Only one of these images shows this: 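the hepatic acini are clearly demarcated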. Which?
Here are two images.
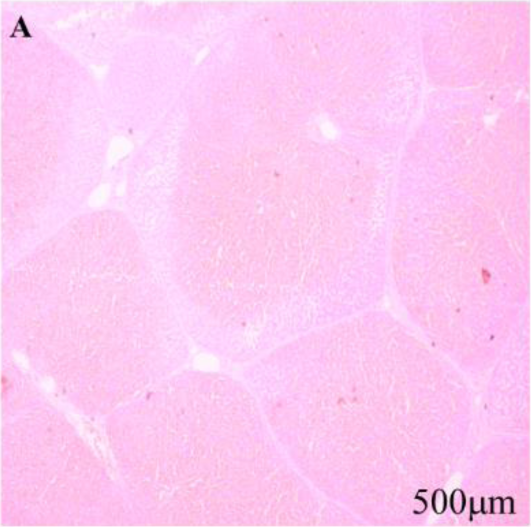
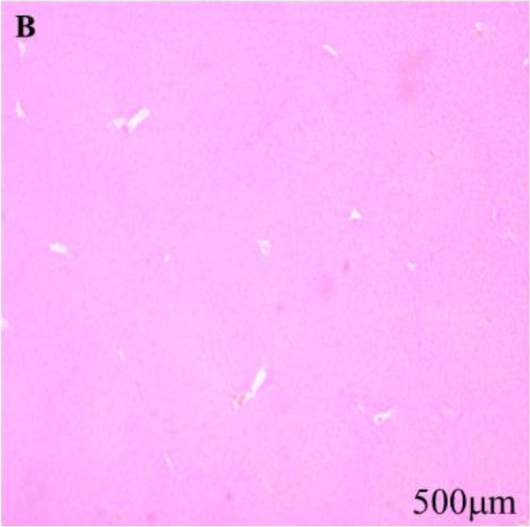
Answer: The first image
